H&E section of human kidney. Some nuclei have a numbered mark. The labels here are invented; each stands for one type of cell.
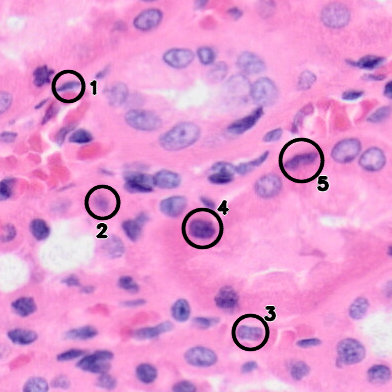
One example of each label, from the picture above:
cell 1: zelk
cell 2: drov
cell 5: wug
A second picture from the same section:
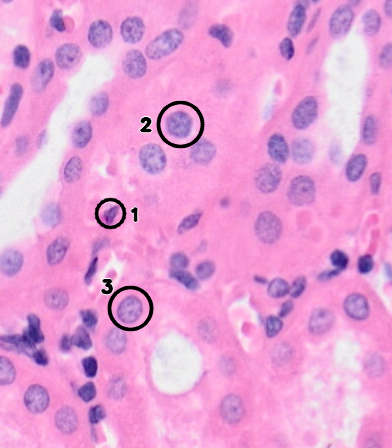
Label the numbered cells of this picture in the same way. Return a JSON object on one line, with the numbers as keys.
{"1": "zelk", "2": "drov", "3": "wug"}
